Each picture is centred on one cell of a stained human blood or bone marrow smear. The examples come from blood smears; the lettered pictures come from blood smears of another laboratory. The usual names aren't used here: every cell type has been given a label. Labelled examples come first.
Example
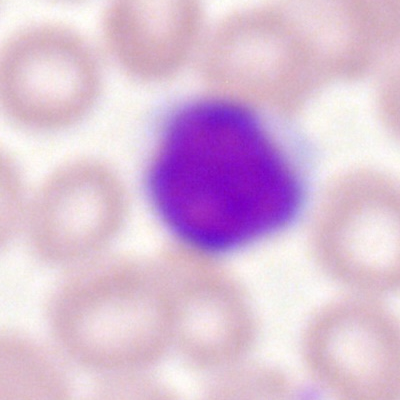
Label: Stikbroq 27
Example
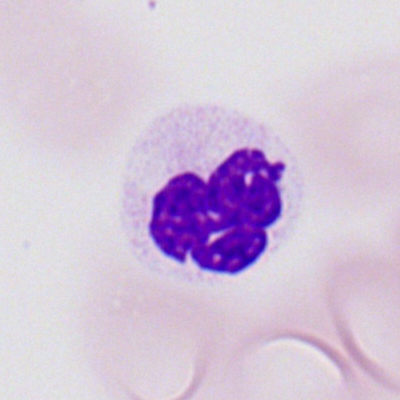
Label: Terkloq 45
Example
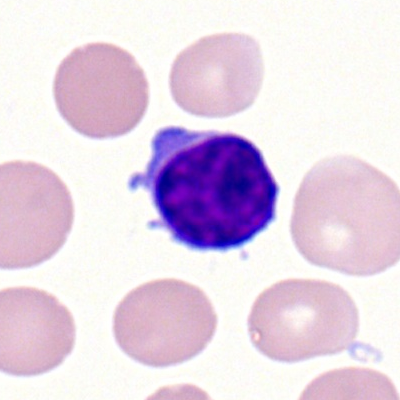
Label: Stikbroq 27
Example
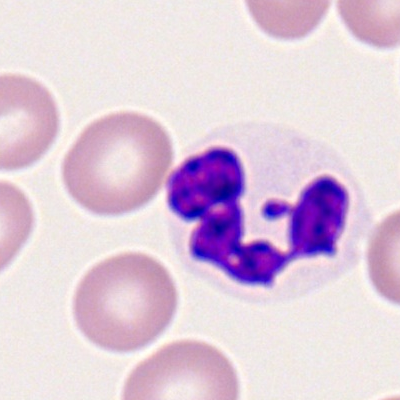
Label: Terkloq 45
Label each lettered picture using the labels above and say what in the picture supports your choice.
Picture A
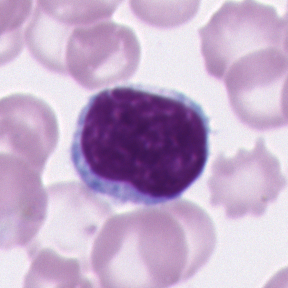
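Stikbroq 27. Evidence: The cytoplasm forms a narrow pale blue rim around the nucleus.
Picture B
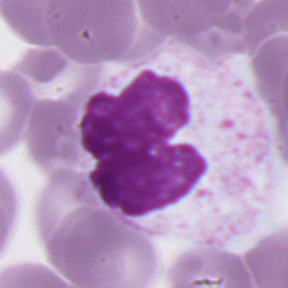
Terkloq 45. Evidence: The cytoplasm is abundant and very pale, nearly colourless.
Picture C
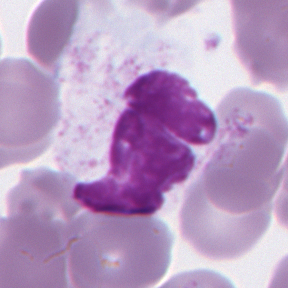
Terkloq 45. Evidence: The cytoplasm is plentiful and very pale, almost colourless.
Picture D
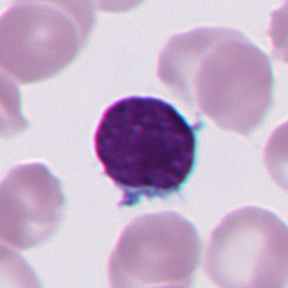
Stikbroq 27. Evidence: Cytoplasm is scant, showing only as a thin rim at the edge of the cell.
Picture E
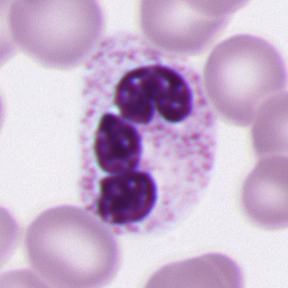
Terkloq 45. Evidence: The nucleus is divided into separate lobes.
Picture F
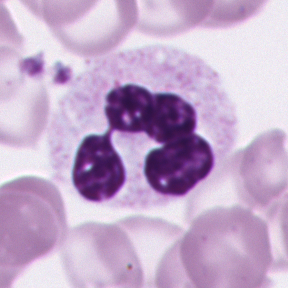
Terkloq 45. Evidence: A wide rim of pale lilac-pink cytoplasm surrounds the nucleus.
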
